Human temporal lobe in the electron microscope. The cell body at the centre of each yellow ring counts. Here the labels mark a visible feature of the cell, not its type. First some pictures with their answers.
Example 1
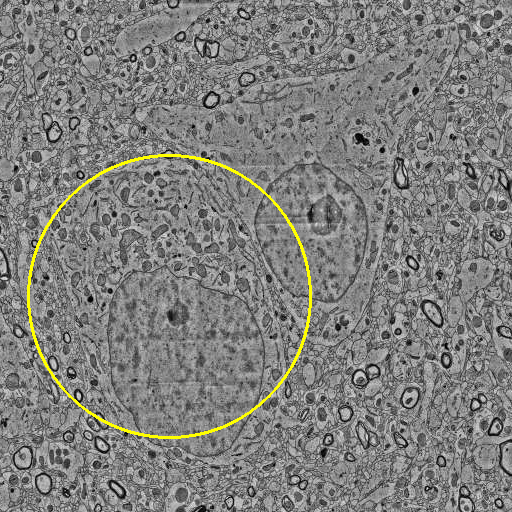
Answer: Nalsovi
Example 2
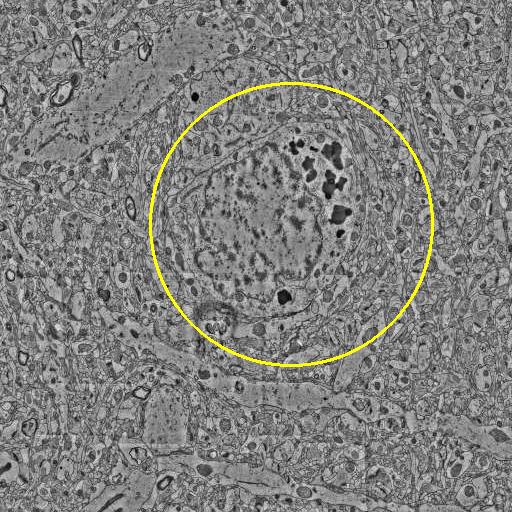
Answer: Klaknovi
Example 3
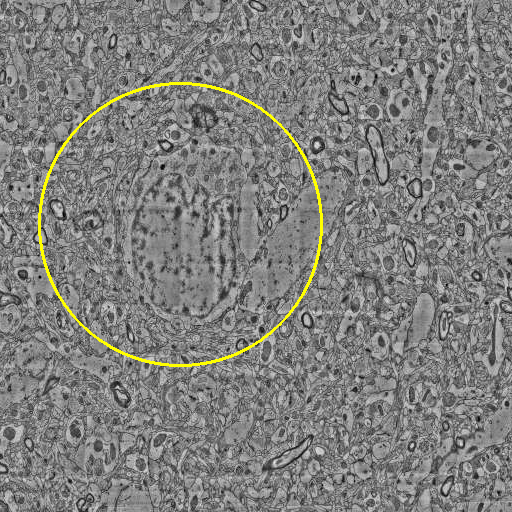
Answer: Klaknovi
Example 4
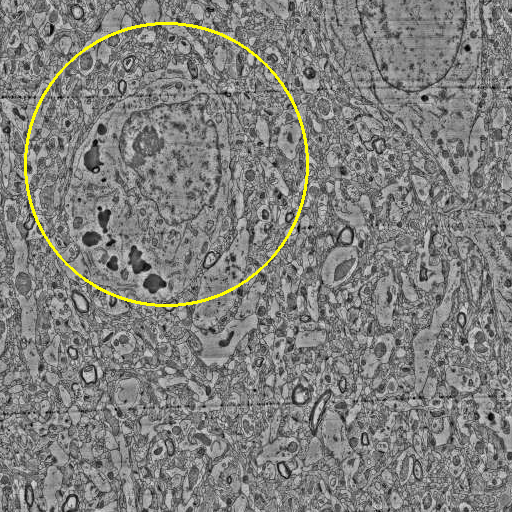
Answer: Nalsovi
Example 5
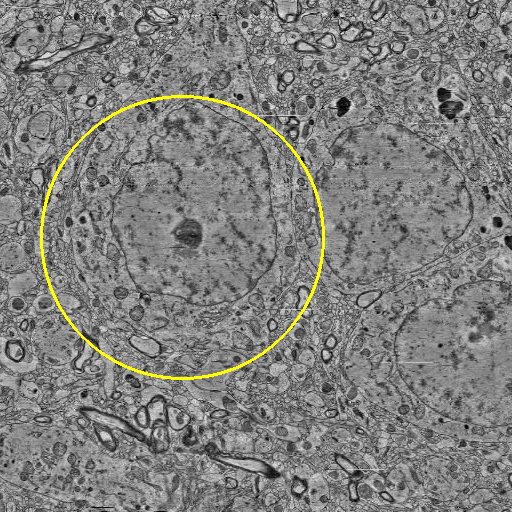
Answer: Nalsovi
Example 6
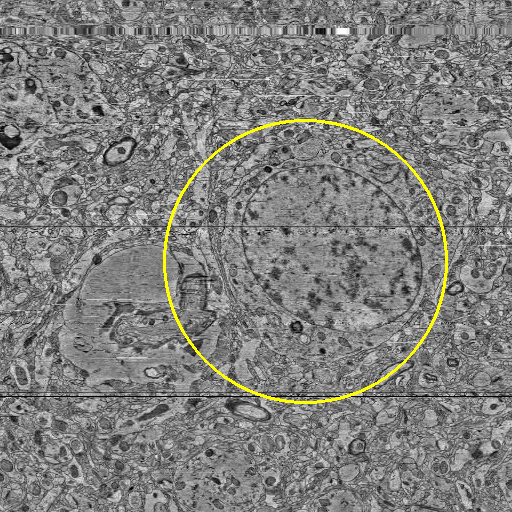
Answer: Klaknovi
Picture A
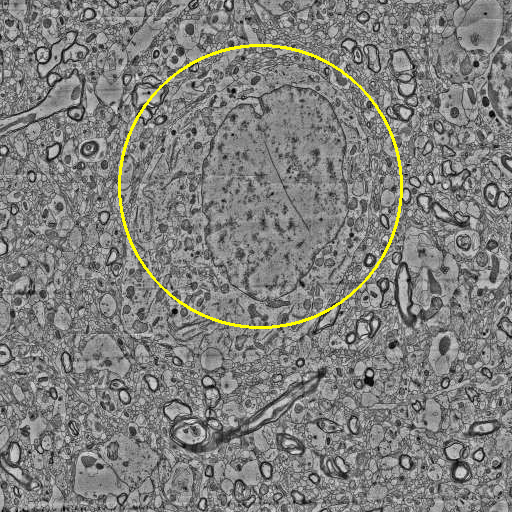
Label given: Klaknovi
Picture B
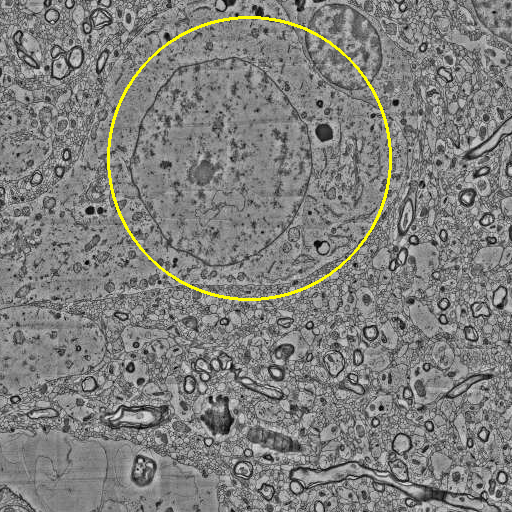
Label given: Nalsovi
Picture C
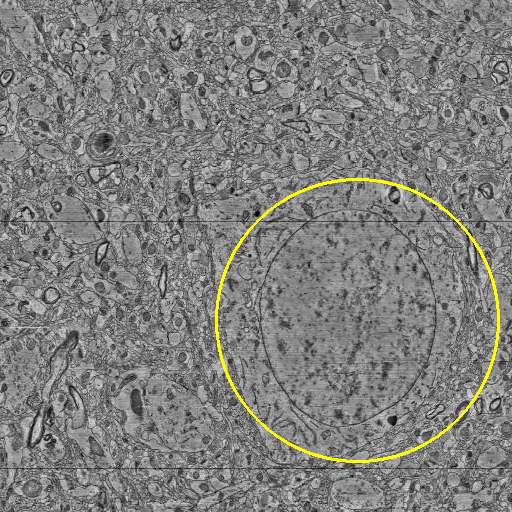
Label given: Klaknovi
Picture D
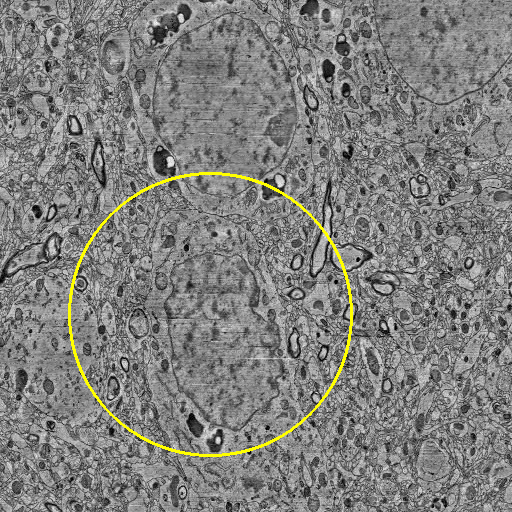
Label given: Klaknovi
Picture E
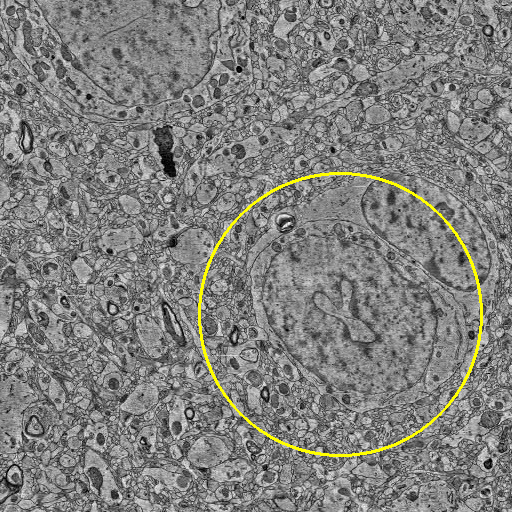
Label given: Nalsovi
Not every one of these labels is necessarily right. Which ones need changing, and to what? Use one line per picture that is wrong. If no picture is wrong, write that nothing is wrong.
Wrong: E (Nalsovi); correct: Klaknovi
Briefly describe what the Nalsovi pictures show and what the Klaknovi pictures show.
Nalsovi: nucleolus seen; Klaknovi: no nucleolus seen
